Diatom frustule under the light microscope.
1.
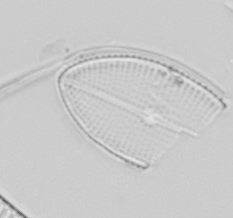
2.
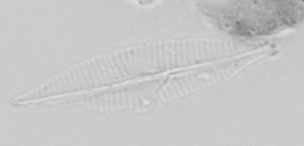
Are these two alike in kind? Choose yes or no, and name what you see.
No. First Cocconeis, second Navicula.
